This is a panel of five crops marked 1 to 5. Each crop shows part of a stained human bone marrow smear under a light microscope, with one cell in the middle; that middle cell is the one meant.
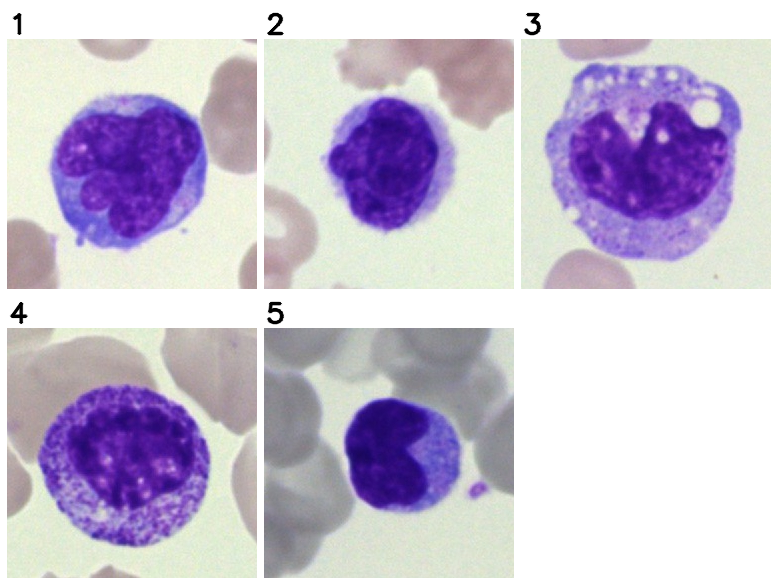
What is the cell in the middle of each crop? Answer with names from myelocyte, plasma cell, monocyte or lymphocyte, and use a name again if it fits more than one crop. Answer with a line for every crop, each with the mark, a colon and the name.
1: monocyte
2: monocyte
3: monocyte
4: myelocyte
5: monocyte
